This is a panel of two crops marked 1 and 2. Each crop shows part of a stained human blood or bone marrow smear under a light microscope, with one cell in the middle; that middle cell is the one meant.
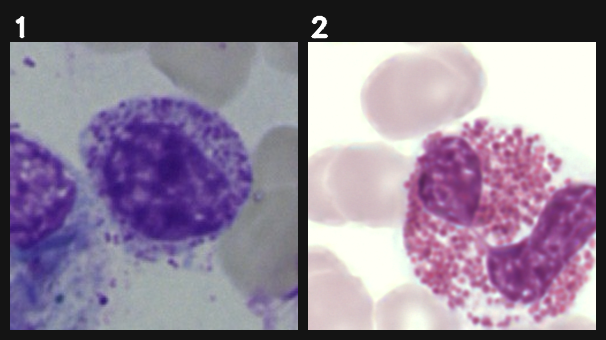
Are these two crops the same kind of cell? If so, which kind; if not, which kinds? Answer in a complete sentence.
No, it is a myelocyte in crop 1 and an eosinophil in crop 2.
